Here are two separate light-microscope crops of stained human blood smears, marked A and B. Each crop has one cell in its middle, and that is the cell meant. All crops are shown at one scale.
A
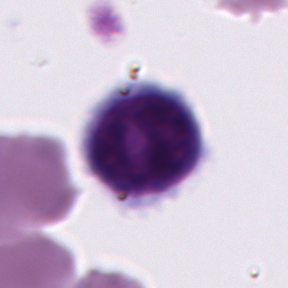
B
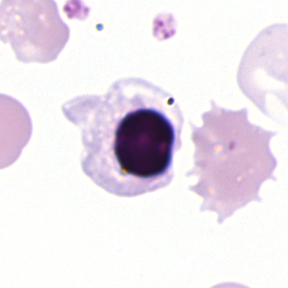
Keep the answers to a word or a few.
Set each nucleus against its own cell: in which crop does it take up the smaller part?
B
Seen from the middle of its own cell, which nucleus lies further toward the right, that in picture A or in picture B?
B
